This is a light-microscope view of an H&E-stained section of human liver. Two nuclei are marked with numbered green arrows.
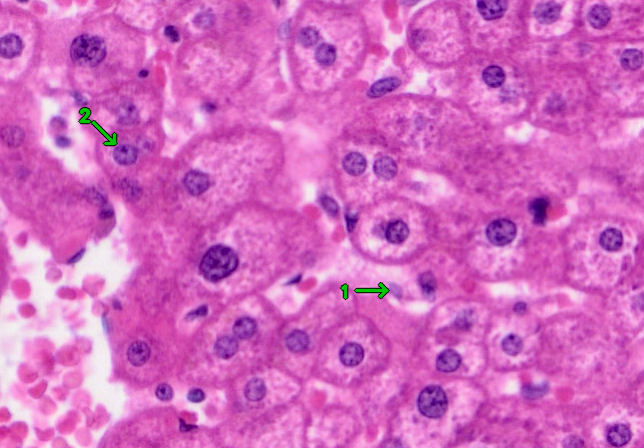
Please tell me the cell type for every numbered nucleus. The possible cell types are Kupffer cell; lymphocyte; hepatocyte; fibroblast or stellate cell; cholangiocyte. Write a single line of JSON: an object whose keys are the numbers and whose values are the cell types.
{"1": "Kupffer cell", "2": "hepatocyte"}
